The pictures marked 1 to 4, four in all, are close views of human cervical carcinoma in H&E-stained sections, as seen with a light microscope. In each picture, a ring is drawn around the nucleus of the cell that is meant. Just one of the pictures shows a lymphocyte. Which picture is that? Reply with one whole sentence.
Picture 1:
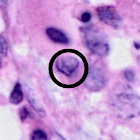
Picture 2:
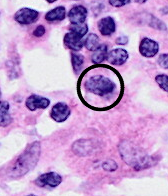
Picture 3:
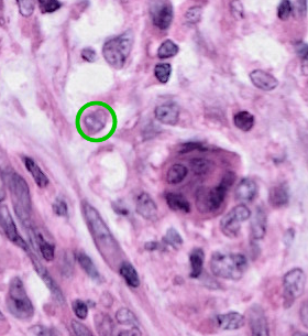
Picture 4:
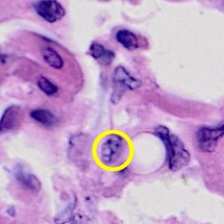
Picture 2 is the one that shows the lymphocyte.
